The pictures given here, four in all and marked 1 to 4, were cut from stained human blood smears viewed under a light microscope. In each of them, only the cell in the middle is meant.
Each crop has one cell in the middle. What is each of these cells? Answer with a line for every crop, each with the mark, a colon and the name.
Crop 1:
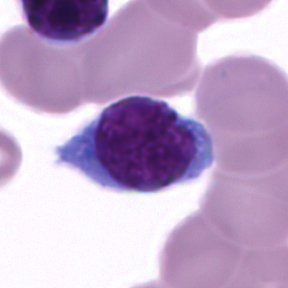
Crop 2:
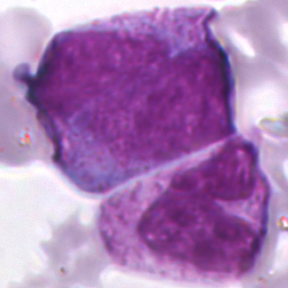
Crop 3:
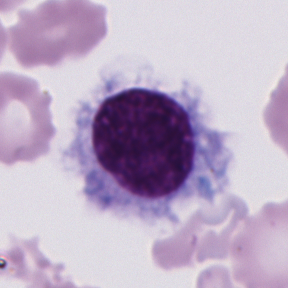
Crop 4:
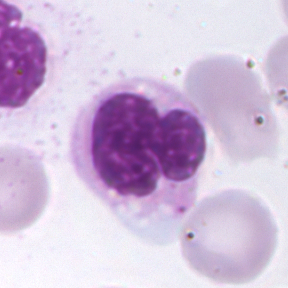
1: plasma cell
2: promyelocyte
3: hairy cell
4: band neutrophil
